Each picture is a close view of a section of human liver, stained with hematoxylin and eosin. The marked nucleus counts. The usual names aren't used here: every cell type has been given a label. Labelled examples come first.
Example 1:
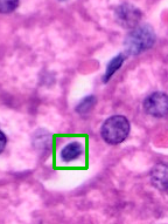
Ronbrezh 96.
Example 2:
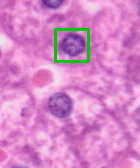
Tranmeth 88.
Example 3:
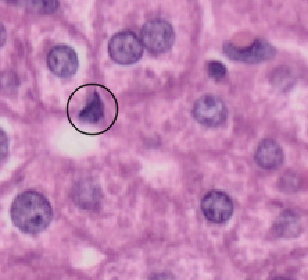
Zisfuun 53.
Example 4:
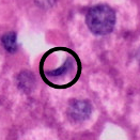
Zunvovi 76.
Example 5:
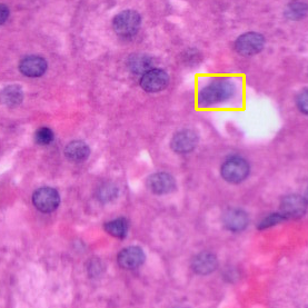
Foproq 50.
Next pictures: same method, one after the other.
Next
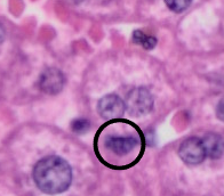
Zisfuun 53.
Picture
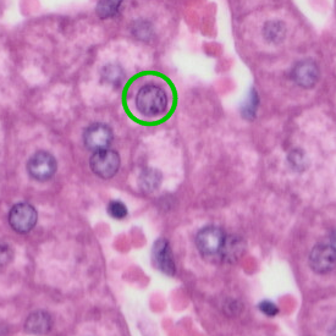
Tranmeth 88.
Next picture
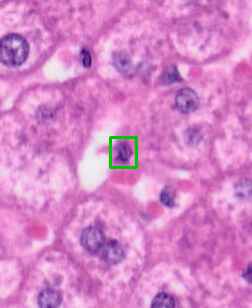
Foproq 50.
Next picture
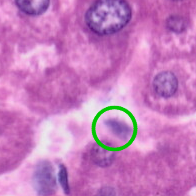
Foproq 50.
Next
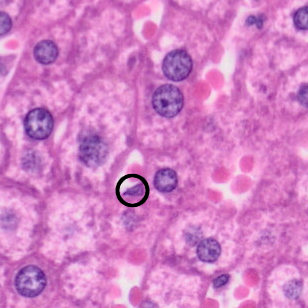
Zunvovi 76.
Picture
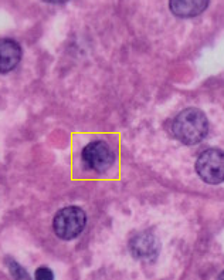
Zunvovi 76.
